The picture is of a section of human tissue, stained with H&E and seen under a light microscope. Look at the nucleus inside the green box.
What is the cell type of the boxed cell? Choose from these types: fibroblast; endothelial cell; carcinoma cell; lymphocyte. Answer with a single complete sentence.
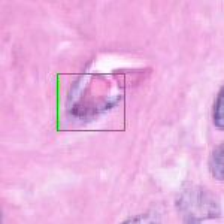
As for its identity, the boxed cell is an endothelial cell.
